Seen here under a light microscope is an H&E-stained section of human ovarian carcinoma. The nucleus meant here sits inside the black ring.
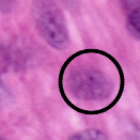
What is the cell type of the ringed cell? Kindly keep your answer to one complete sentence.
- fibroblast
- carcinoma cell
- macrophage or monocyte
In the stained section, the ringed cell is a fibroblast.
